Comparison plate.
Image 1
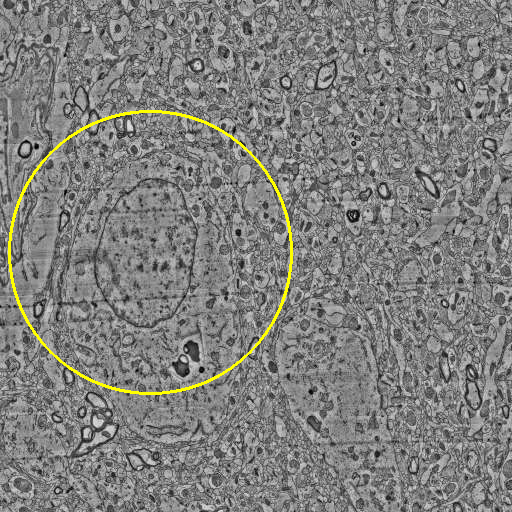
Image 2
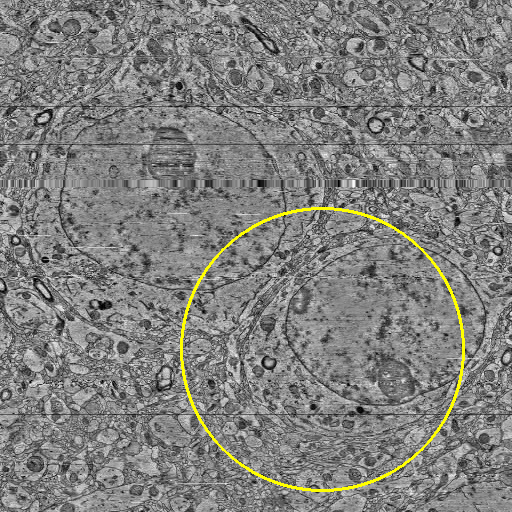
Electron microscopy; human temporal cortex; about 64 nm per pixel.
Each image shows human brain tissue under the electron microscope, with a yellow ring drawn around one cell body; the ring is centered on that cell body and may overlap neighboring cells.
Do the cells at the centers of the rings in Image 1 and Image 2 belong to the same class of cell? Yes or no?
yes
